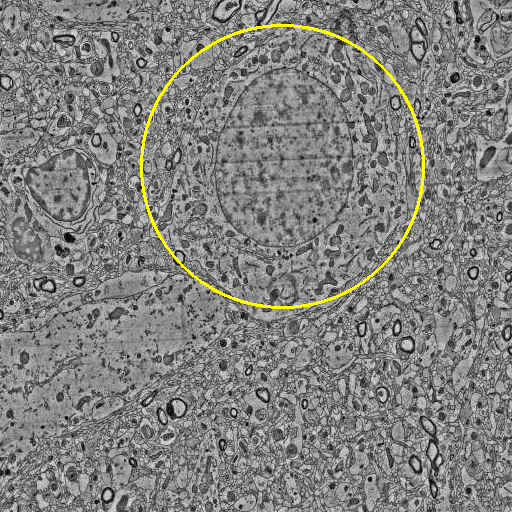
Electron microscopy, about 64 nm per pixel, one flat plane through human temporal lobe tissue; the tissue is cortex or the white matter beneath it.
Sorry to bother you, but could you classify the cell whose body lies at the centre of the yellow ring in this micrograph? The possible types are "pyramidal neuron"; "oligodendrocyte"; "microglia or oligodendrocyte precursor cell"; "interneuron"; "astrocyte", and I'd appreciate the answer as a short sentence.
The ringed cell body is that of an interneuron.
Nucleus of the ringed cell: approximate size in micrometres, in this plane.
Roughly 12 by 9 micrometres in this plane, for the nucleus of the ringed cell.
